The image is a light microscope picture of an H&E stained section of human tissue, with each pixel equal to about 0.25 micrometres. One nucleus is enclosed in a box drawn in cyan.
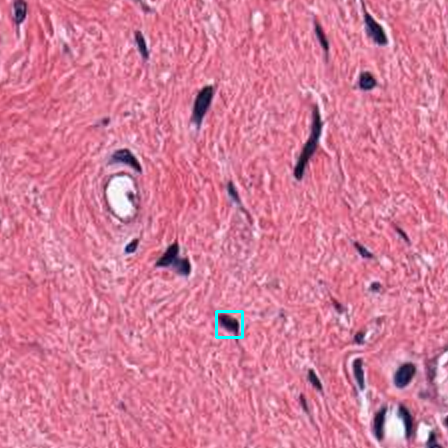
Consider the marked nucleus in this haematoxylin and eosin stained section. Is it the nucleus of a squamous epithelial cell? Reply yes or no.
no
